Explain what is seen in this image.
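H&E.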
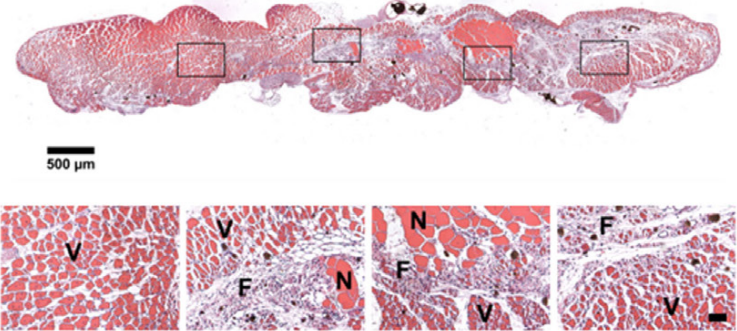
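This is a cross-section of skeletal muscle stained with hematoxylin and eosin. The section shows regions of damage among the surviving muscle. Some areas hold pink polygonal muscle fibers cut across. Other broad areas are pale with loose purple-stained fibrous tissue and scattered cells, and these lie between the groups of fibers. A few fibers are enlarged, rounded and evenly deep pink. Scattered dark brown deposits lie within the section.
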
